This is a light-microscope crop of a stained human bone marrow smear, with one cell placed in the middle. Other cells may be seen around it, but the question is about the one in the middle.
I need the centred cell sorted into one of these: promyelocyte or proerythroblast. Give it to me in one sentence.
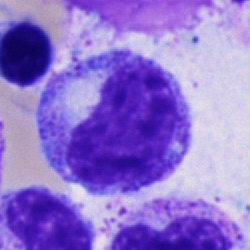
In the center of this field lies a promyelocyte.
